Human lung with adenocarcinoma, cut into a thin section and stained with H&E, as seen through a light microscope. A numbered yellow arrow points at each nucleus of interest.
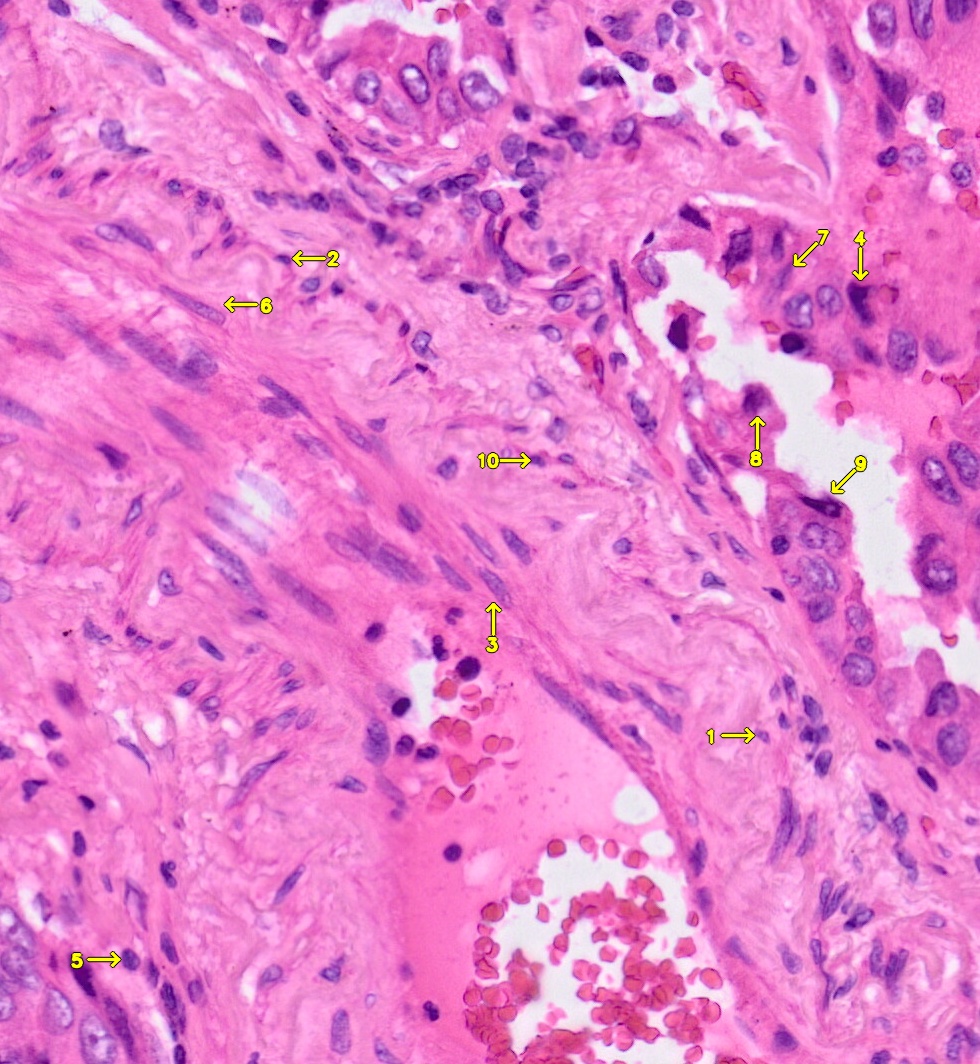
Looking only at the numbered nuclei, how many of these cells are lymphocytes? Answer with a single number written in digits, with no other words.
1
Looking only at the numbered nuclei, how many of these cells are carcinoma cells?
4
